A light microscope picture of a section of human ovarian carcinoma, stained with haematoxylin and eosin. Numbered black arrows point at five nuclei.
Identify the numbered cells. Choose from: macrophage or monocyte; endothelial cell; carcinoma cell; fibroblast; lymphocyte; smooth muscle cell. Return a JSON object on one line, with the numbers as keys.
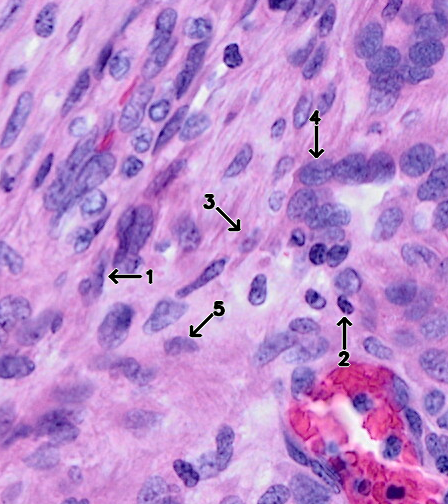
{"1": "fibroblast", "2": "lymphocyte", "3": "fibroblast", "4": "carcinoma cell", "5": "fibroblast"}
